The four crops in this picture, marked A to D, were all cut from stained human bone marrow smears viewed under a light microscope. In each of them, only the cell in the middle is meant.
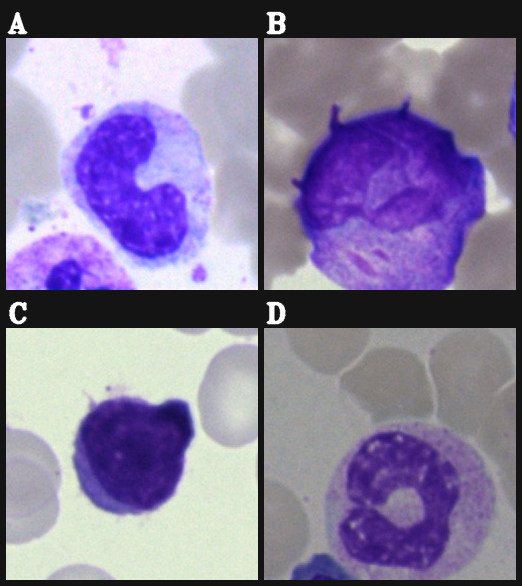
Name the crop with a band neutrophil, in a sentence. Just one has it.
That would be crop A; it shows a band neutrophil.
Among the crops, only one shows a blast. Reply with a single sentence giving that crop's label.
Crop B is the single crop that shows a blast.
